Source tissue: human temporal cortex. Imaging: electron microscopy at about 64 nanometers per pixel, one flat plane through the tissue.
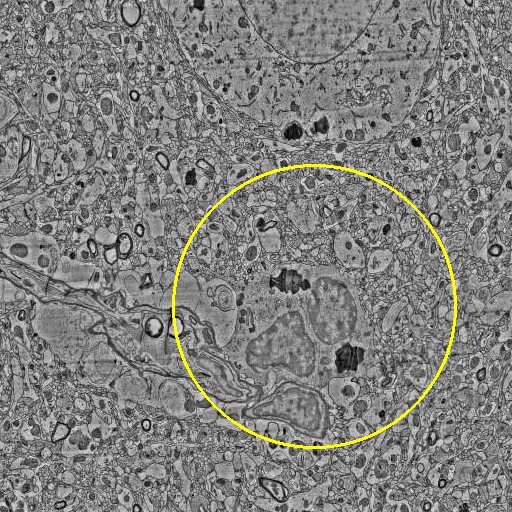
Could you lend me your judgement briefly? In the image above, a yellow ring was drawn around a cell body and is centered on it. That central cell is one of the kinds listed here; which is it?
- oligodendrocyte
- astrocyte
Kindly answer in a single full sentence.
Going by the list, an oligodendrocyte is the kind at the ring's center in the picture.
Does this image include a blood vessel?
Yes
